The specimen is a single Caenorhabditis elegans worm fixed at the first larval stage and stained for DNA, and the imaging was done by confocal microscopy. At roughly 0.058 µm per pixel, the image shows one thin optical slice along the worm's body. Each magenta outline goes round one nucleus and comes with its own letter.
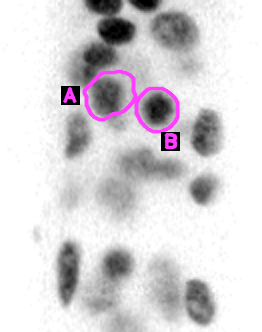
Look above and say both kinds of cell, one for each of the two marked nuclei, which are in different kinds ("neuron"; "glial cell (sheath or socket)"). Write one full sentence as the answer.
The nucleus A is that of a neuron, while B is that of a glial cell (sheath or socket).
